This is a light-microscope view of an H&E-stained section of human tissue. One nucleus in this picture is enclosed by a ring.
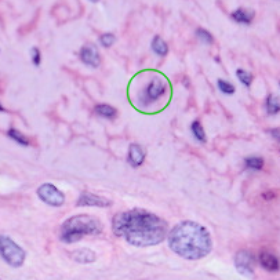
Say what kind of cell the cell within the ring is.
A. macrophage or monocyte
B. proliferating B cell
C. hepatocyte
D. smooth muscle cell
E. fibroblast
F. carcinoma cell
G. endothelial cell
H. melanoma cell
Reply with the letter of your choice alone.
D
